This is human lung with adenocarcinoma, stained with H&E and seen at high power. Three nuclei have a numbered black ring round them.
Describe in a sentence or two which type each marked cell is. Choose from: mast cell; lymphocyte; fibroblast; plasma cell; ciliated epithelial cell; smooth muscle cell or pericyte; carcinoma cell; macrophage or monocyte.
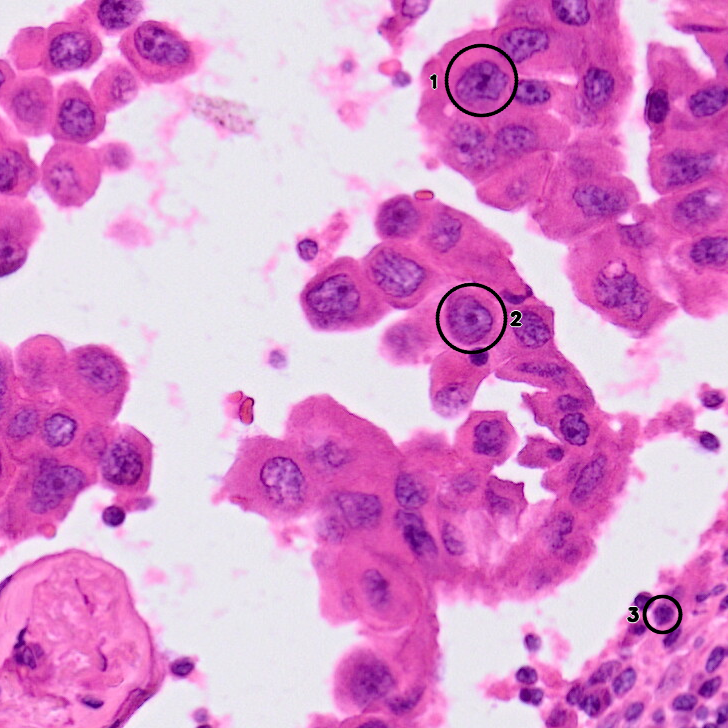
Cells 1 and 2 are carcinoma cells. Cell 3 is a lymphocyte.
